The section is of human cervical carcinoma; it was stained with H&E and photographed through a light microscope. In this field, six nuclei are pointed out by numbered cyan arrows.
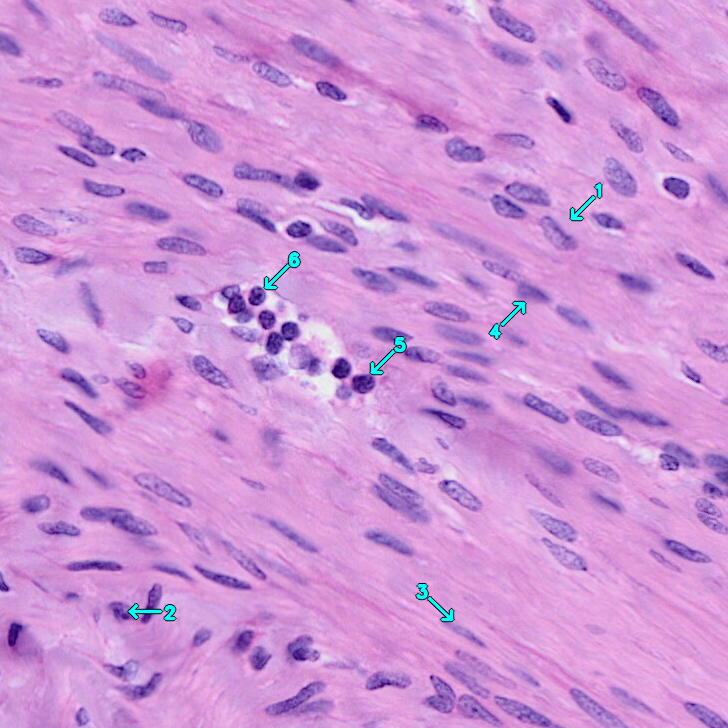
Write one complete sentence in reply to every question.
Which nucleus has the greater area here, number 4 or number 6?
It is nucleus 4, which covers about 1.5 times the area of nucleus 6.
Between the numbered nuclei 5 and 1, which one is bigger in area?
Nucleus 1 covers more area, about 2 times as much as nucleus 5.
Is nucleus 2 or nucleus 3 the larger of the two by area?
At about 1.5 times the area of nucleus 2, nucleus 3 is the larger of the two.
